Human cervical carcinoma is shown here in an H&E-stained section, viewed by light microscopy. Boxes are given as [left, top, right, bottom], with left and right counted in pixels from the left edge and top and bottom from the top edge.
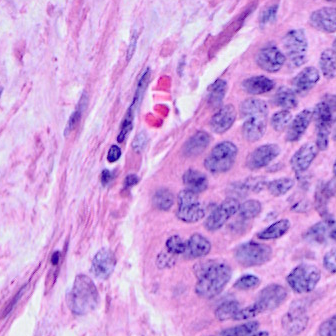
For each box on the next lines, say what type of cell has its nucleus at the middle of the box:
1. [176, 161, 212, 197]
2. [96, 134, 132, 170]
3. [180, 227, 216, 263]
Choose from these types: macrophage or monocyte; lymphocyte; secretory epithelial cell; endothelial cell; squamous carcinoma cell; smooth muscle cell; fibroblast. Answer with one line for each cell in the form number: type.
1: squamous carcinoma cell
2: lymphocyte
3: squamous carcinoma cell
